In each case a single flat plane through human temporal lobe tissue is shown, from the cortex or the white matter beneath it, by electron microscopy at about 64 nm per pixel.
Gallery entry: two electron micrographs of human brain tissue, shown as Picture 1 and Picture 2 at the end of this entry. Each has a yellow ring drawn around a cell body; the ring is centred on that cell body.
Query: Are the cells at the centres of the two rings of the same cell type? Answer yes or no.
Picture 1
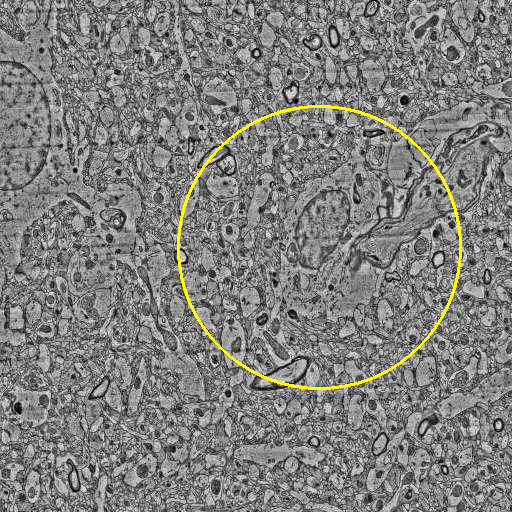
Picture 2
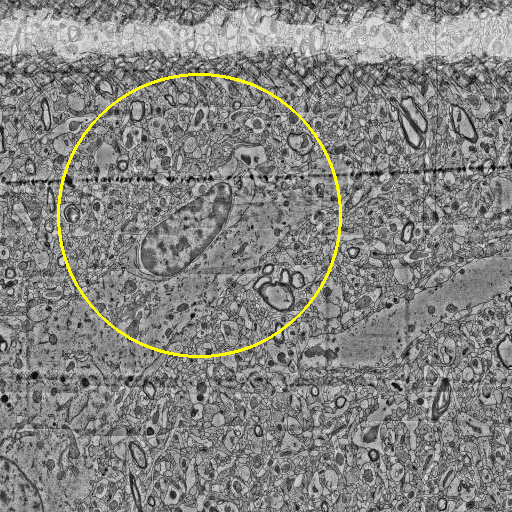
yes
